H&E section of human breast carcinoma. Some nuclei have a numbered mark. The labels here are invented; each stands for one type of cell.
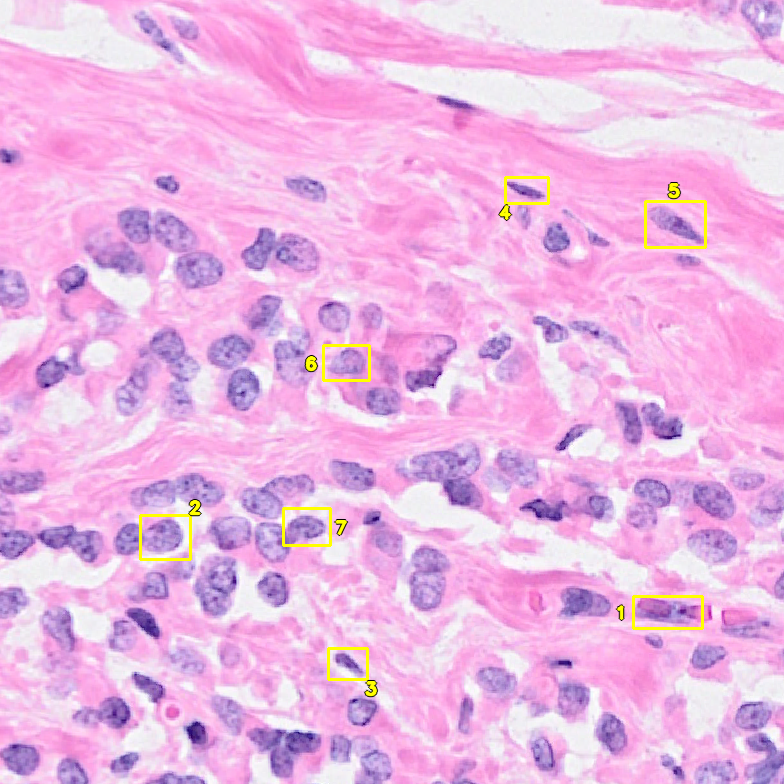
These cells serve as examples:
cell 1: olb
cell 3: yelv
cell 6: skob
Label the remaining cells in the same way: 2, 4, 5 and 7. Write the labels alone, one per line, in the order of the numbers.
skob
yelv
yelv
skob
